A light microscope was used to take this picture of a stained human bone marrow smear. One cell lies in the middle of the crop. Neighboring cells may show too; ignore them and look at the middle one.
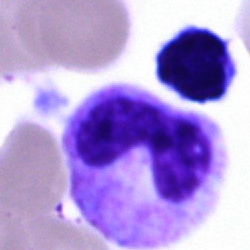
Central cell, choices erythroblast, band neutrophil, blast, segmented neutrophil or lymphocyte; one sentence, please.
The cell of interest, in the center, is a band neutrophil.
